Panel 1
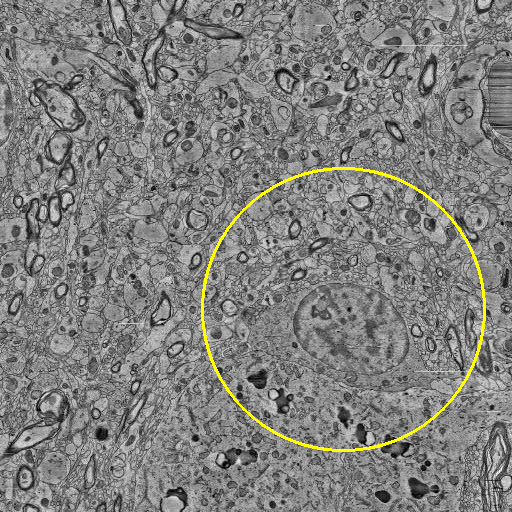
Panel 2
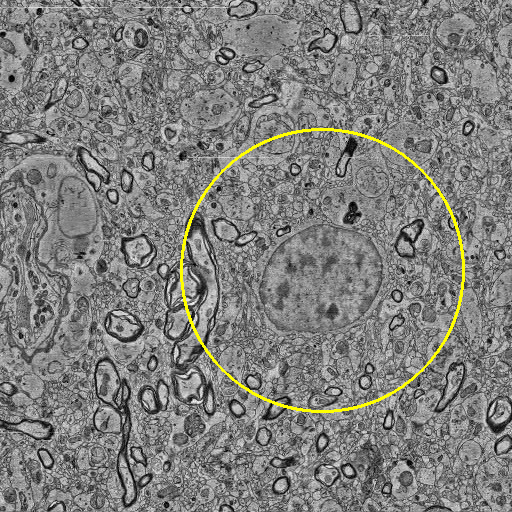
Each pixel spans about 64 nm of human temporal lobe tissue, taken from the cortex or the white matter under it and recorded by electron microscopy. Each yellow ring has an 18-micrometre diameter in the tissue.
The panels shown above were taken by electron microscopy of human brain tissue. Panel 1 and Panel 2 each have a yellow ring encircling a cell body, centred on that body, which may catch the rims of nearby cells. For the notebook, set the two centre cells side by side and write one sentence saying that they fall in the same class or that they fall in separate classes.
The centred cells of Panel 1 and Panel 2 fall in the same class.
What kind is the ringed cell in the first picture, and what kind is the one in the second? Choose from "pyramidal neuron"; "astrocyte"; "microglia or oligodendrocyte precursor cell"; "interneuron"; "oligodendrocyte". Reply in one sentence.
Each cell at the centre of a ring is an oligodendrocyte.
